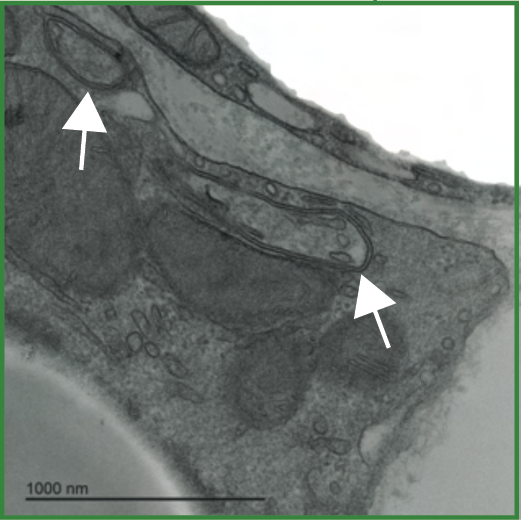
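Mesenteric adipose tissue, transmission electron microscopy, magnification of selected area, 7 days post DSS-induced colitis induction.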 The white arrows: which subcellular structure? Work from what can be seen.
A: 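Autophagosomal structures. The arrows point at membrane-bounded compartments in the cytoplasm. The marked compartments lie beside mitochondria in a thin rim of cytoplasm.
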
